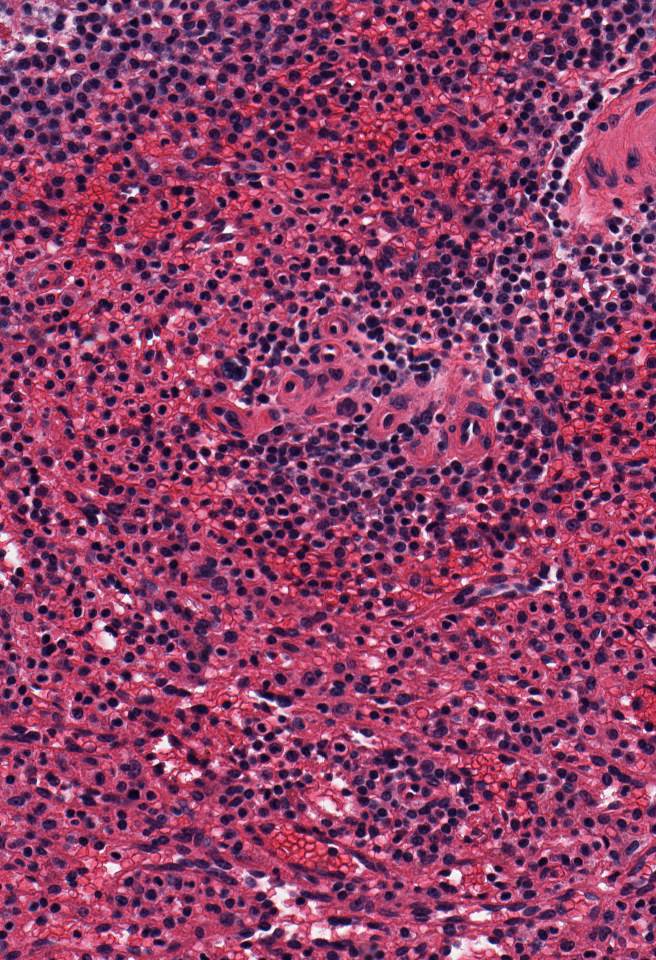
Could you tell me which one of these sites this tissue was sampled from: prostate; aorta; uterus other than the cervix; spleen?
spleen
